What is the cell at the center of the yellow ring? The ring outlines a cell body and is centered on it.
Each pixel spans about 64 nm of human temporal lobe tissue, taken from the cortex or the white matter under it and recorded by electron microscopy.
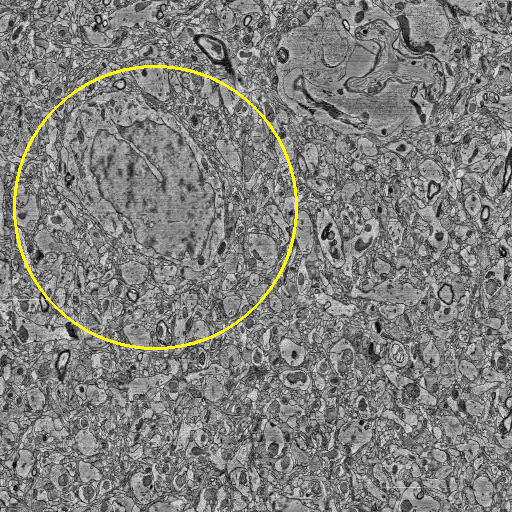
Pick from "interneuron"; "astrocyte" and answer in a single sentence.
The yellow ring is centered on an interneuron.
